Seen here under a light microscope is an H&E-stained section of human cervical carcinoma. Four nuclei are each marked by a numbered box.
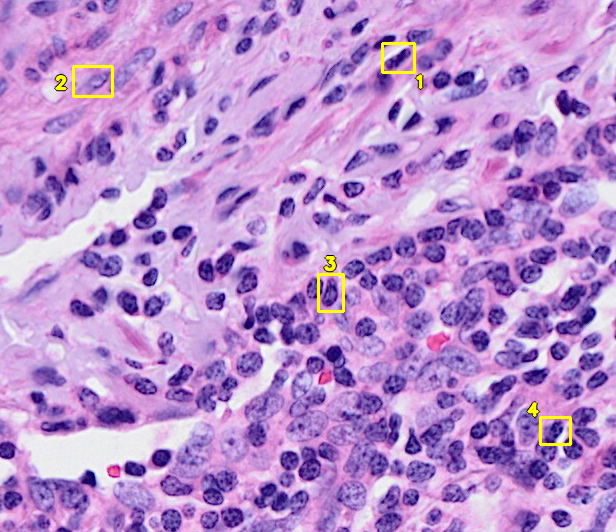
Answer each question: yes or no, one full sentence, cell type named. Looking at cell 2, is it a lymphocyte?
No, the cell labelled 2 is a smooth muscle cell and not a lymphocyte.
